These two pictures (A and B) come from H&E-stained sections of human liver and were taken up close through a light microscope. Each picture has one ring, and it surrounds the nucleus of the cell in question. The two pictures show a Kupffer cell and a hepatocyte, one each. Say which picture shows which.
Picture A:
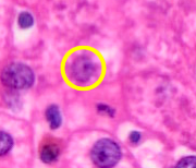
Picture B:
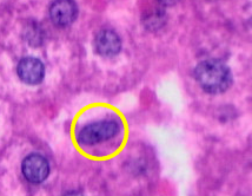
A: hepatocyte
B: Kupffer cell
